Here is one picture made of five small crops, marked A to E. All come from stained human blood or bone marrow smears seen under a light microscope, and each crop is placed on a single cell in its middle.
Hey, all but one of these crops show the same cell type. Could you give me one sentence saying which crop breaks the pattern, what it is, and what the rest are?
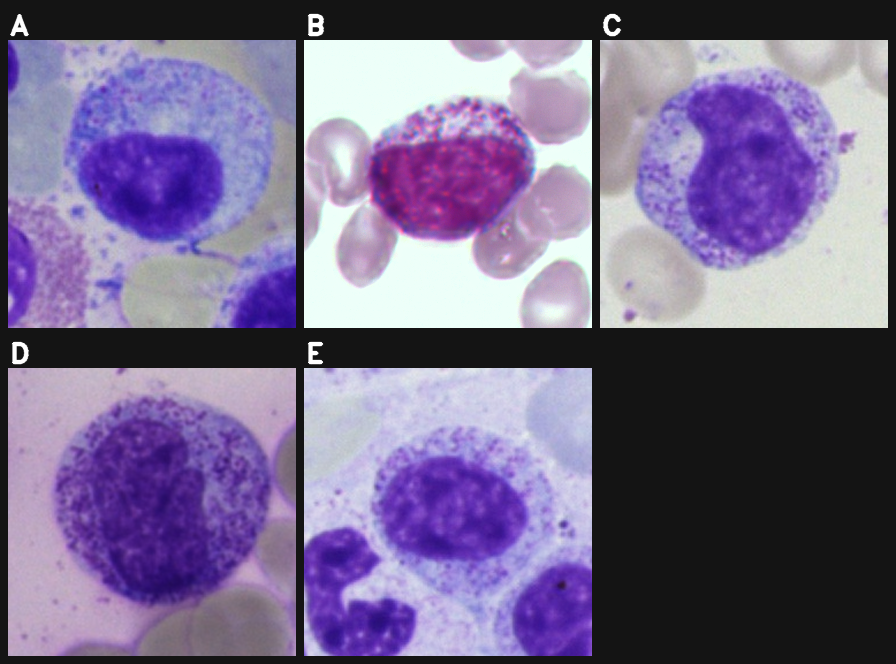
Crop B is a metamyelocyte, unlike the other crops, which all show myelocytes.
